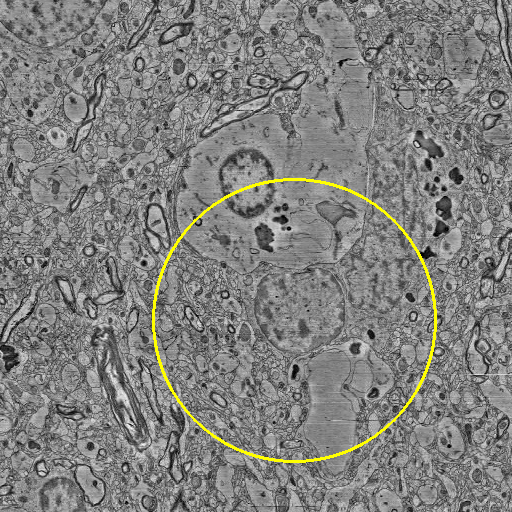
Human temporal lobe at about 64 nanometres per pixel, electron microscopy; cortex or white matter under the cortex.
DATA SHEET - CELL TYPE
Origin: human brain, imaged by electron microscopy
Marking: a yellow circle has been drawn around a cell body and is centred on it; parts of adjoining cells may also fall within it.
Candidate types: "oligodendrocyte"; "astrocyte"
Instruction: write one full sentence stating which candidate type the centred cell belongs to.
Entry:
The cell body at the centre of the yellow ring in this micrograph belongs to an oligodendrocyte.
